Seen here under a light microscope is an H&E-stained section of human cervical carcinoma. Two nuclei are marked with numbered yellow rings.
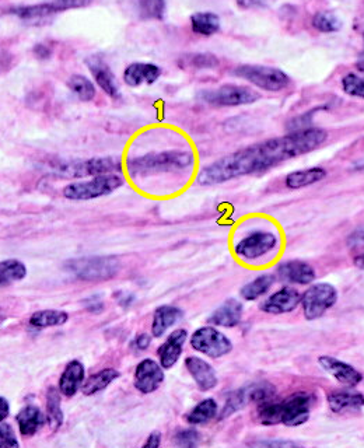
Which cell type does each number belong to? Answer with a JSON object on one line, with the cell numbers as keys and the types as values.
{"1": "fibroblast", "2": "lymphocyte"}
